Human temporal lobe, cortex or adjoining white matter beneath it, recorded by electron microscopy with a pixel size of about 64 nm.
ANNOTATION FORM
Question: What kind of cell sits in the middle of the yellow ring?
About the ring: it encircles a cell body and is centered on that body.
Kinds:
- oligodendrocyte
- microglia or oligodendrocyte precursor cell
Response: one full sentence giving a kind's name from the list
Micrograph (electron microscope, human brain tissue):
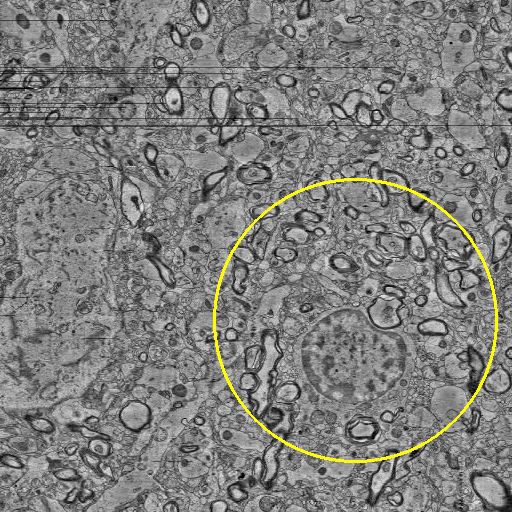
The kind of cell found at the center of the yellow ring in the micrograph is an oligodendrocyte.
